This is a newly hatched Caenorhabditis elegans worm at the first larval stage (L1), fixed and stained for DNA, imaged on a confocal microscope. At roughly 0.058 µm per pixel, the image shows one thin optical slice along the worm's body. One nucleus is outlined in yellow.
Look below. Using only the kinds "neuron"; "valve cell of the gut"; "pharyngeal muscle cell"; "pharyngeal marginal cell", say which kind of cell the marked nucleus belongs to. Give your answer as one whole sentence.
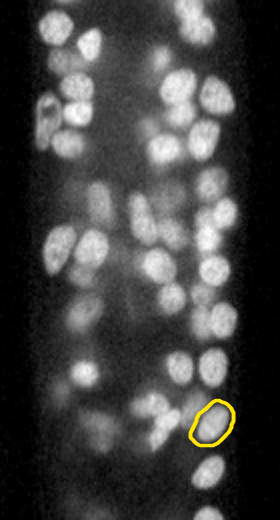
The cell with the marked nucleus is a neuron.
